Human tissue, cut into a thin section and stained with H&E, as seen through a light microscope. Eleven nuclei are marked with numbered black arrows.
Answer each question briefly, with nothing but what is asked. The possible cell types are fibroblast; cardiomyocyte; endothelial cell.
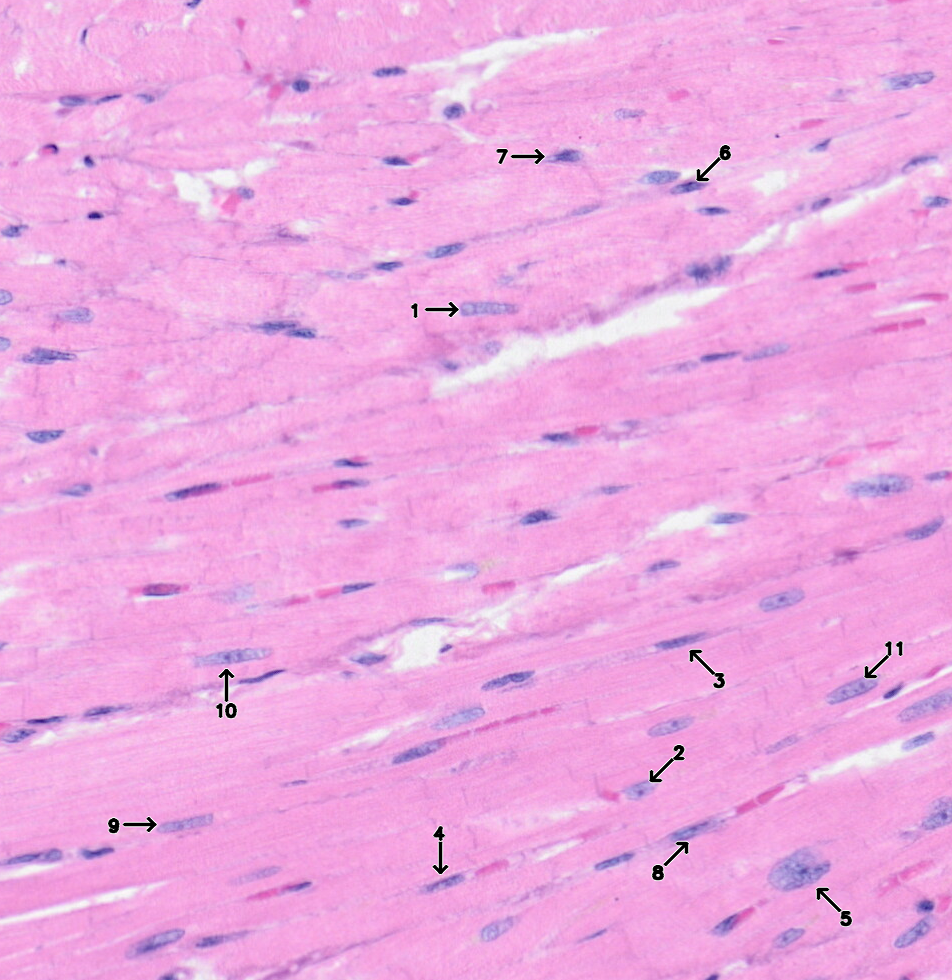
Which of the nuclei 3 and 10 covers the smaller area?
3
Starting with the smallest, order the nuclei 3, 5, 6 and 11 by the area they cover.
6, 3, 11, 5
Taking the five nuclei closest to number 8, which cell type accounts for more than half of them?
cardiomyocyte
